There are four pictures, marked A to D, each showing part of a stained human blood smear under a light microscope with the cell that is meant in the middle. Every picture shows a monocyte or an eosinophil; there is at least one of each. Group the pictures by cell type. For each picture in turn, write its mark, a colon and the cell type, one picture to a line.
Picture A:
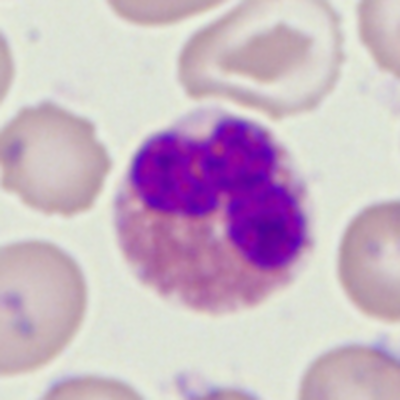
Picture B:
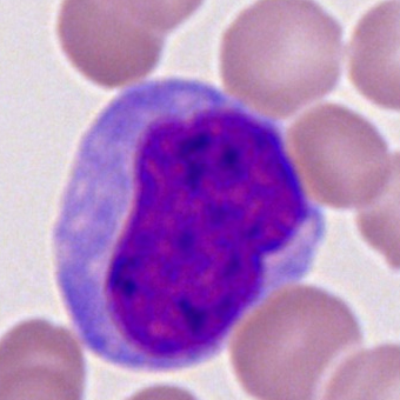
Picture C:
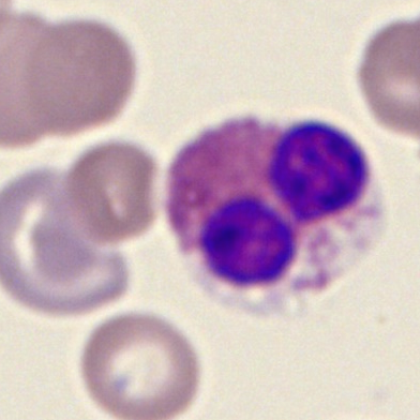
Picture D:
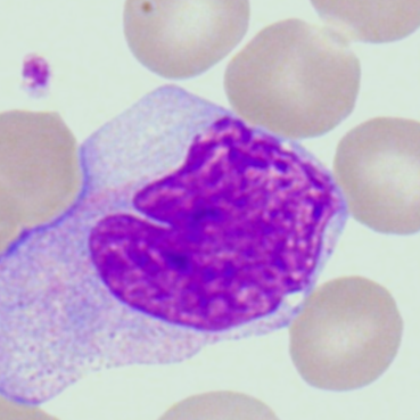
A: eosinophil
B: monocyte
C: eosinophil
D: monocyte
